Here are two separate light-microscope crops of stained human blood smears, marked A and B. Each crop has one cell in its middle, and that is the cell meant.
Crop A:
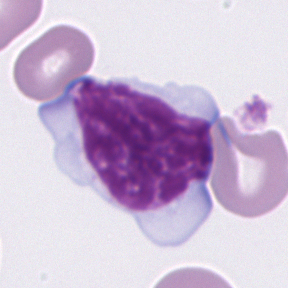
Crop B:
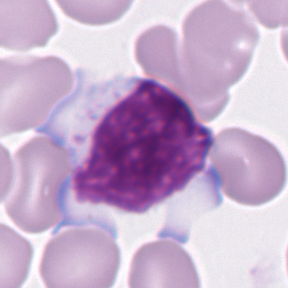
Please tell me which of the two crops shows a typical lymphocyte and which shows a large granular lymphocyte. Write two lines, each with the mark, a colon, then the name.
A: typical lymphocyte
B: large granular lymphocyte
